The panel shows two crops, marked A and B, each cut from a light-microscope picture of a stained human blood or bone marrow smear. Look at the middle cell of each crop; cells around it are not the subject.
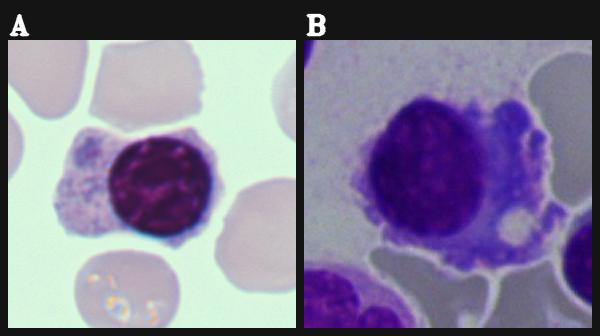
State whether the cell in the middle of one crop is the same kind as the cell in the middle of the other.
no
